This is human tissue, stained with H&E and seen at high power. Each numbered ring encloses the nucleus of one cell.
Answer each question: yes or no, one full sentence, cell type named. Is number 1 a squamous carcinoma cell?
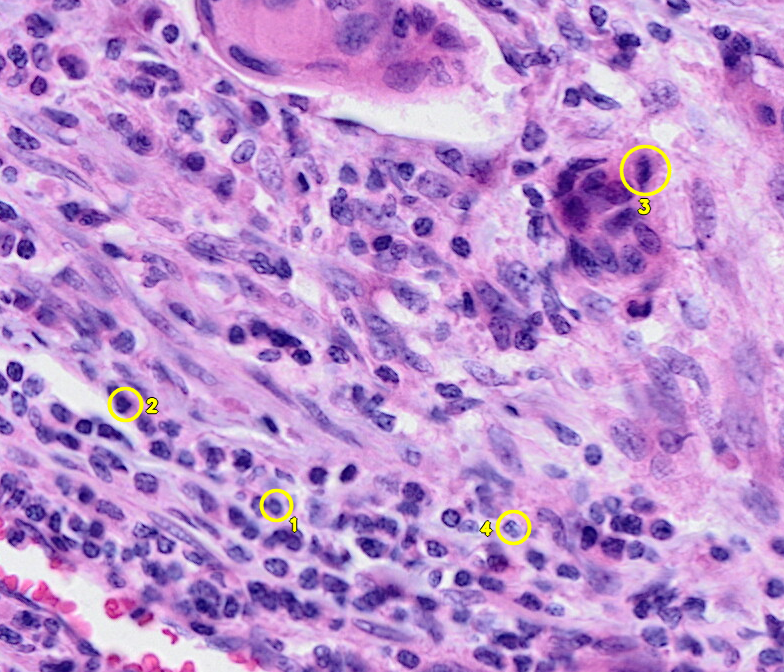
No, the identification of cell 1 as a squamous carcinoma cell is incorrect; it is a lymphocyte.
